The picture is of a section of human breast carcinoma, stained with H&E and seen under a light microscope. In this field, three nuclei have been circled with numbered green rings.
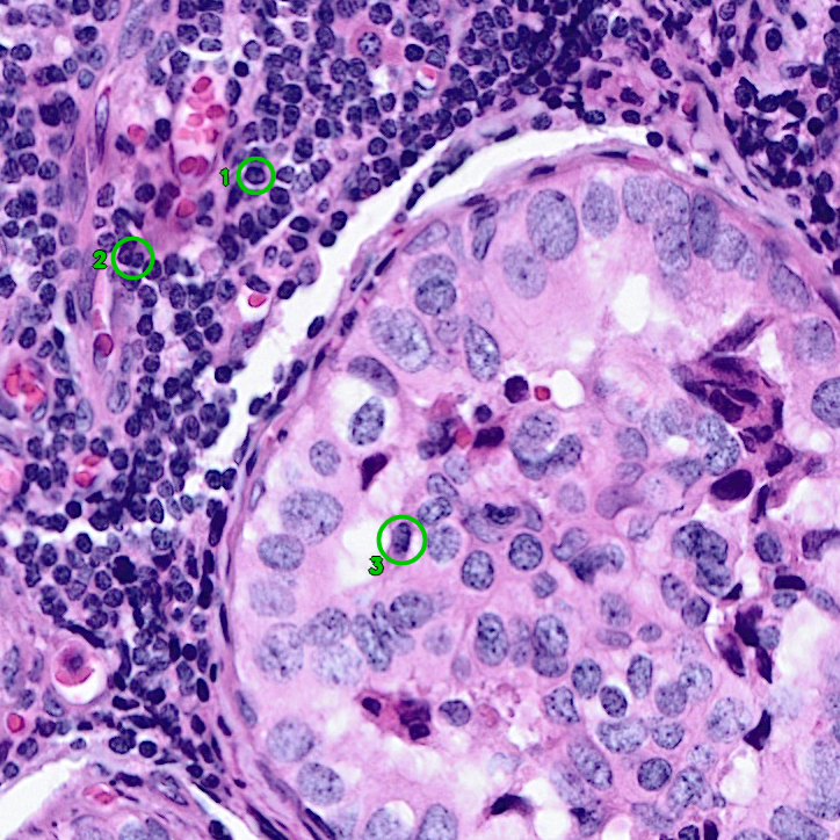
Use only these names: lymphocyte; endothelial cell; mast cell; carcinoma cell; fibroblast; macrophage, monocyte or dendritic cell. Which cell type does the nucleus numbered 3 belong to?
carcinoma cell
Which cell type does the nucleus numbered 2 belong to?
lymphocyte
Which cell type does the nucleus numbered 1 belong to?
lymphocyte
